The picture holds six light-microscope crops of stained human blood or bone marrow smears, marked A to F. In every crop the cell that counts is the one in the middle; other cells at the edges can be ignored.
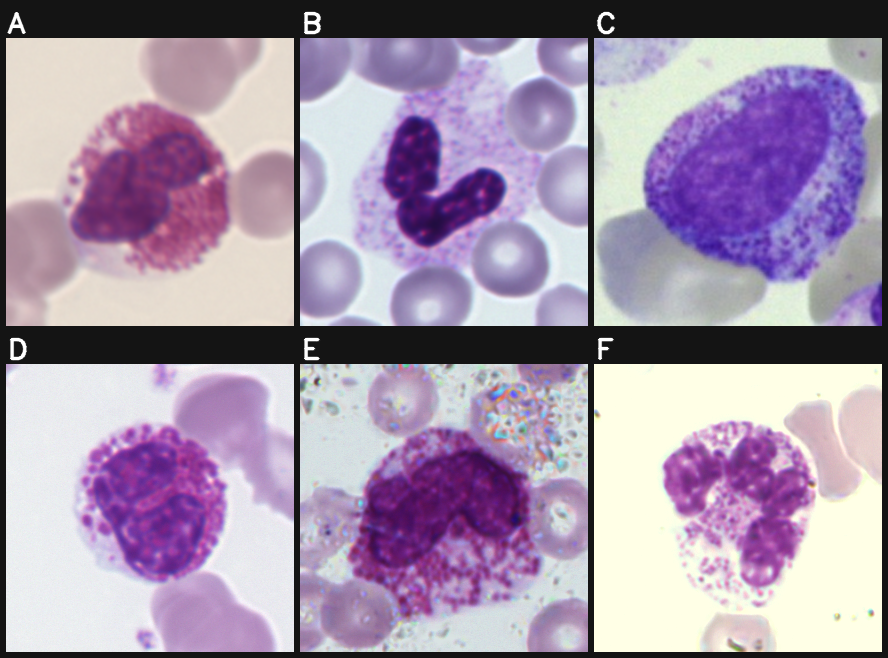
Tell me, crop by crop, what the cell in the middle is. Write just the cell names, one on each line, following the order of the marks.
eosinophil
segmented neutrophil
promyelocyte
eosinophil
eosinophil
segmented neutrophil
